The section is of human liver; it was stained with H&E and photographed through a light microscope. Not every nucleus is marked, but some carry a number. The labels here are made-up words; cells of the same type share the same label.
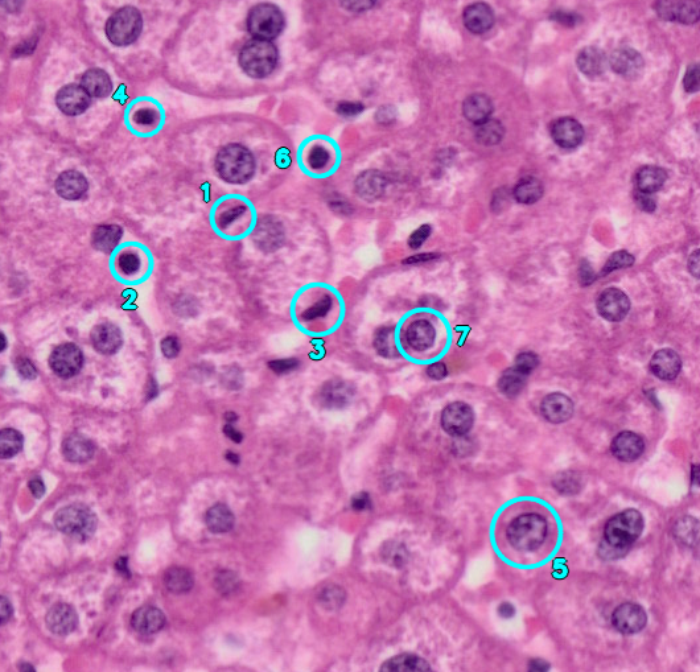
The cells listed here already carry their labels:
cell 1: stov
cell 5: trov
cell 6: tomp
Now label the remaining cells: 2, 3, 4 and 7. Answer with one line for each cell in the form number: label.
2: tomp
3: stov
4: tomp
7: trov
